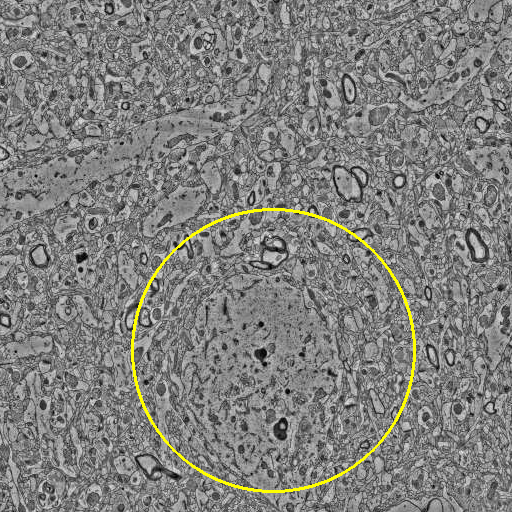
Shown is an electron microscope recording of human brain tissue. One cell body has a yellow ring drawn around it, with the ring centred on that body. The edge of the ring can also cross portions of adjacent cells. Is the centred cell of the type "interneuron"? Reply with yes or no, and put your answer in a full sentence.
No, in the picture, the cell on which the ring is centred has a different type.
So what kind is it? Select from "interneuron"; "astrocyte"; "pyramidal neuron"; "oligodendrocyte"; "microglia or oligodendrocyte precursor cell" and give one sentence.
It is a pyramidal neuron that the ring is centred on.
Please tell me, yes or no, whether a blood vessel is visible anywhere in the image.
No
